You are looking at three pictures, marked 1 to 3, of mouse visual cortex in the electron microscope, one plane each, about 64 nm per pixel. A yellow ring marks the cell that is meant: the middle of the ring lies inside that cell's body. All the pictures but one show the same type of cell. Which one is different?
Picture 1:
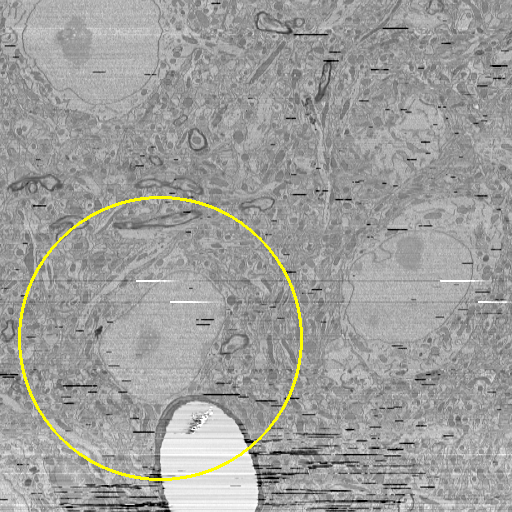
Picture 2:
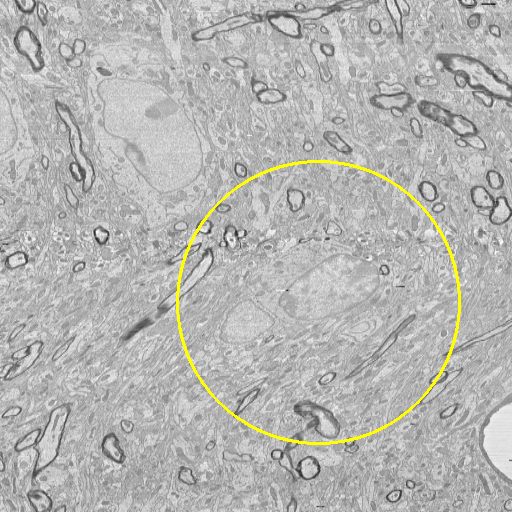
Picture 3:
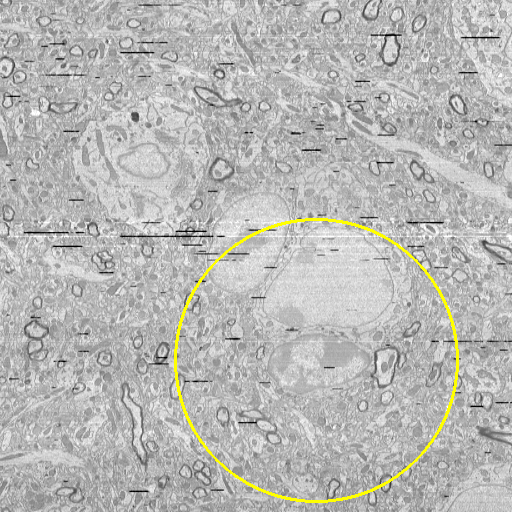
Picture 1 is the odd one out: it shows an astrocyte, while the others show oligodendrocytes.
